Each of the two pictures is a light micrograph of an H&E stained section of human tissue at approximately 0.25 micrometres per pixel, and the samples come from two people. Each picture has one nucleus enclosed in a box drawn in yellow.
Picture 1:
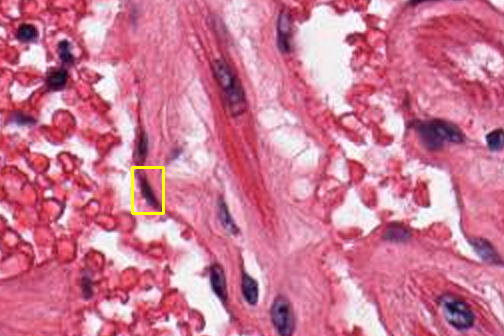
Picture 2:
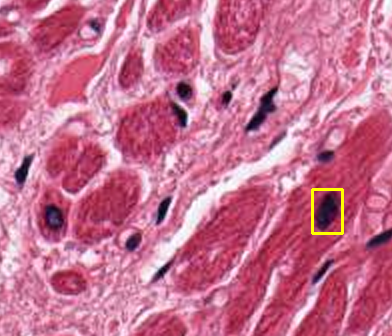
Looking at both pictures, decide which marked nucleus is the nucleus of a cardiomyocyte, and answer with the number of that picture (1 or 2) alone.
2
